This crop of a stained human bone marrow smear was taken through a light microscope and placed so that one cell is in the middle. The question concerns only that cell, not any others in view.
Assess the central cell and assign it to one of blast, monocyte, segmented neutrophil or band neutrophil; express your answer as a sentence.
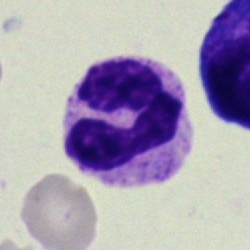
The middle of this crop is occupied by a band neutrophil.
